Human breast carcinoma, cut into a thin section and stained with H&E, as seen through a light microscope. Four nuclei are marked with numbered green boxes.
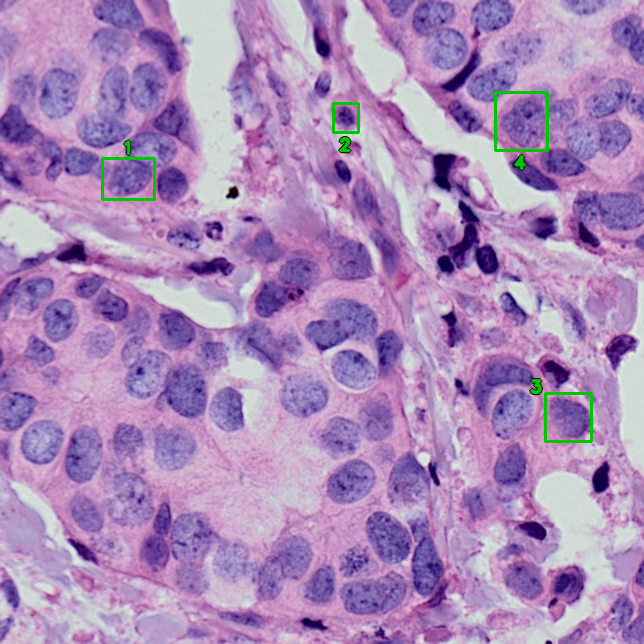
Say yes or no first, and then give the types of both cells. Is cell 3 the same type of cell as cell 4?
Yes, among the marked cells, numbers 3 and 4 are both carcinoma cells.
